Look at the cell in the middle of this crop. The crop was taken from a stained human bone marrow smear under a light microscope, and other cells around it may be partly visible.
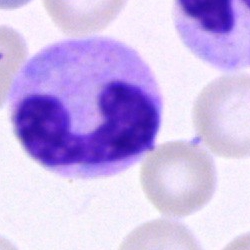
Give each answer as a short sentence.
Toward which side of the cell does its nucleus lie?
The nucleus lies toward the bottom of the cell.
